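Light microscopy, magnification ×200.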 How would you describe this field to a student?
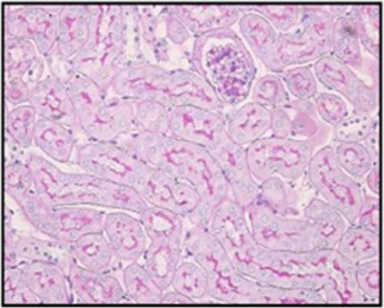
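This is kidney cortex packed with closely set tubules in cross- and oblique section, with a single glomerulus near the top. The tubules sit back to back with only narrow interstitial spaces between them. The glomerulus appears as a compact rounded tuft with purple nuclei, enclosed in a thin capsule.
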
